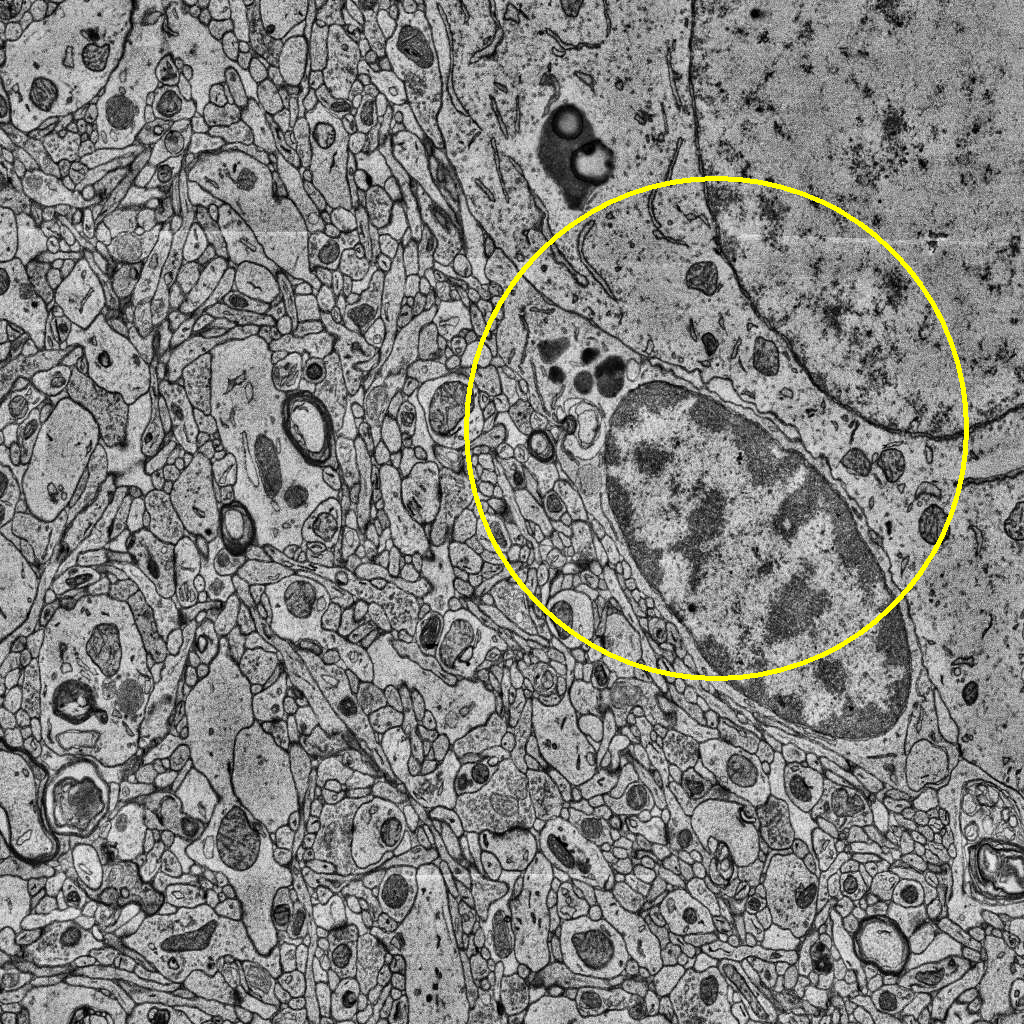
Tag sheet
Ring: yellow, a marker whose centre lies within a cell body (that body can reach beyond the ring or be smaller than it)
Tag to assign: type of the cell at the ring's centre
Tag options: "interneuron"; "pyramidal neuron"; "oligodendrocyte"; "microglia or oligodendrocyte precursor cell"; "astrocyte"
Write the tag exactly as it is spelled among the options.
microglia or oligodendrocyte precursor cell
